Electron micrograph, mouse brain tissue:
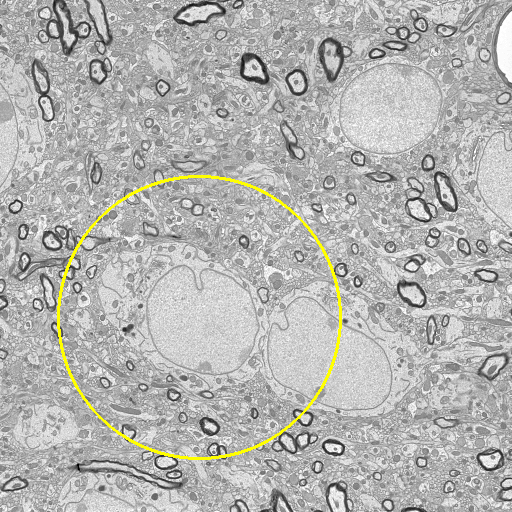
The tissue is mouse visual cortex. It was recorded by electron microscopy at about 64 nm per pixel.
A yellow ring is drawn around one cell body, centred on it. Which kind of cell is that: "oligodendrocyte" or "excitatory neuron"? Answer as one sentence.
It is an excitatory neuron at the centre of the ring.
